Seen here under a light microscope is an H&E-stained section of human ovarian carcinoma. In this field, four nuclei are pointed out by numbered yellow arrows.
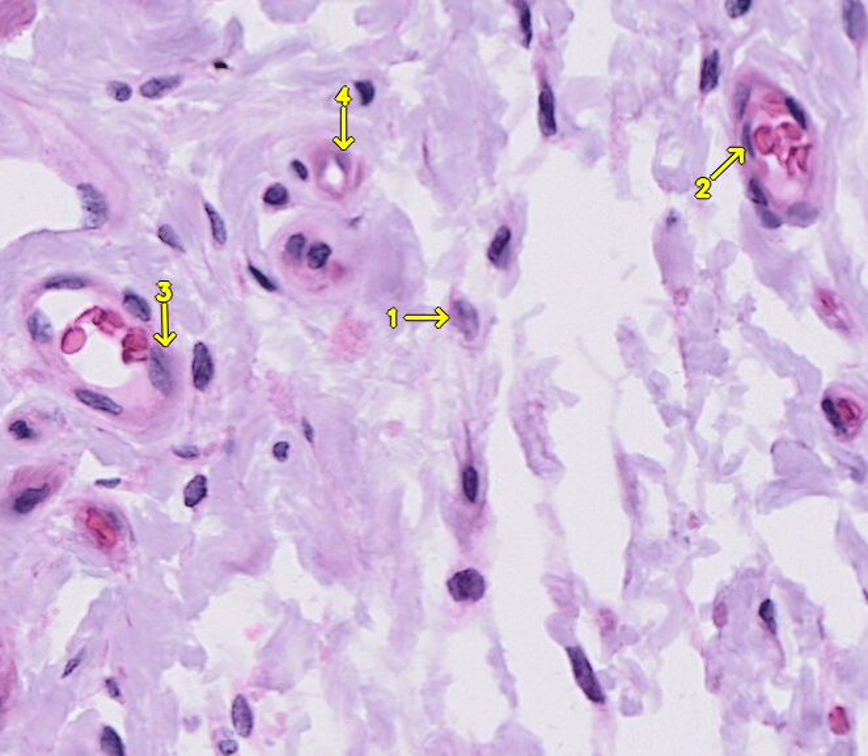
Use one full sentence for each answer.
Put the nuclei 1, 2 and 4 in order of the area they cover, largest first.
The nuclei rank 1, 2, 4, from largest to smallest.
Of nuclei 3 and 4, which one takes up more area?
It is nucleus 3, which covers about 4 times the area of nucleus 4.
